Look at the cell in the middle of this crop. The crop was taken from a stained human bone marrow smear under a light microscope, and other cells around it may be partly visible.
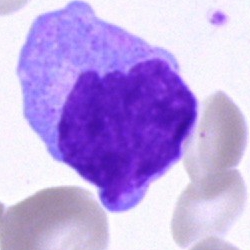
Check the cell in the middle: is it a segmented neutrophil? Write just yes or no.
no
